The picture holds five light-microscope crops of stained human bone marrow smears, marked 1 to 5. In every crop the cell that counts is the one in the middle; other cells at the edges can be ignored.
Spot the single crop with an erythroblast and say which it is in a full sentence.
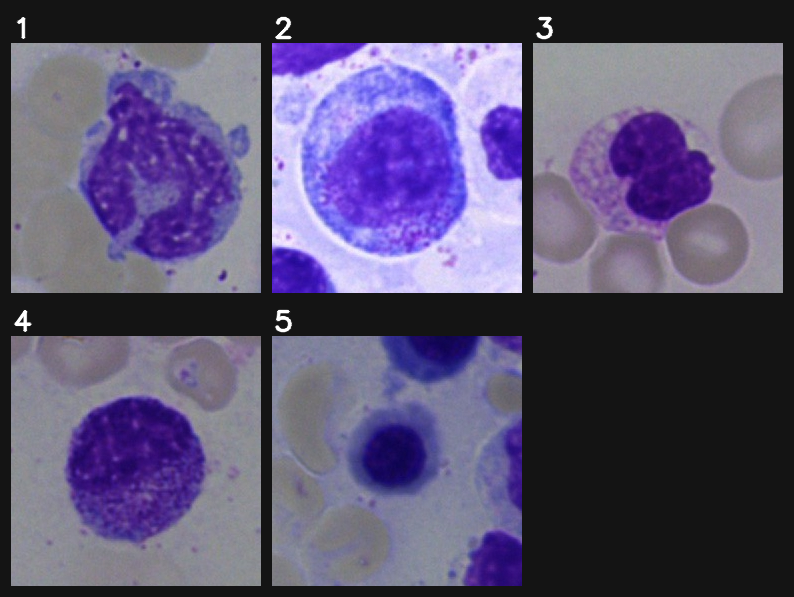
Crop 5 is where an erythroblast is shown.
